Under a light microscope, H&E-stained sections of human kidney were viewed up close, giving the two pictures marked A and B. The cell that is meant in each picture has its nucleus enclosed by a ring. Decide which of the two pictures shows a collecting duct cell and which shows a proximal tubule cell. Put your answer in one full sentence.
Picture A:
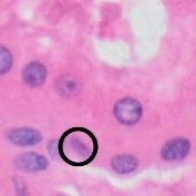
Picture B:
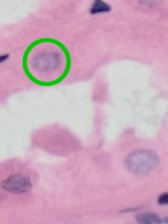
It is picture A that shows a collecting duct cell, and picture B that shows a proximal tubule cell.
